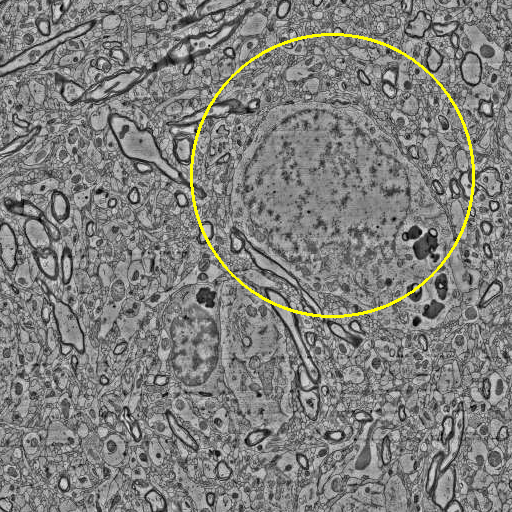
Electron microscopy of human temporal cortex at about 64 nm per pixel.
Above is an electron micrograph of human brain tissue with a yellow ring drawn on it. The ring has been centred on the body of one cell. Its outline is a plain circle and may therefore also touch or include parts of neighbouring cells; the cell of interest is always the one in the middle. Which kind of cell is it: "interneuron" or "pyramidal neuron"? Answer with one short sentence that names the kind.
The ring's central cell body is that of an interneuron.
